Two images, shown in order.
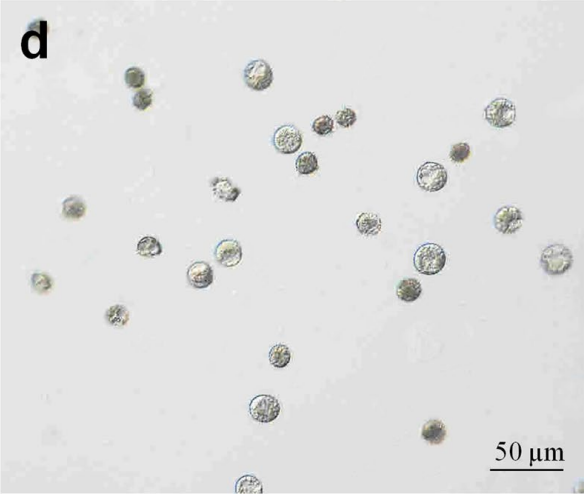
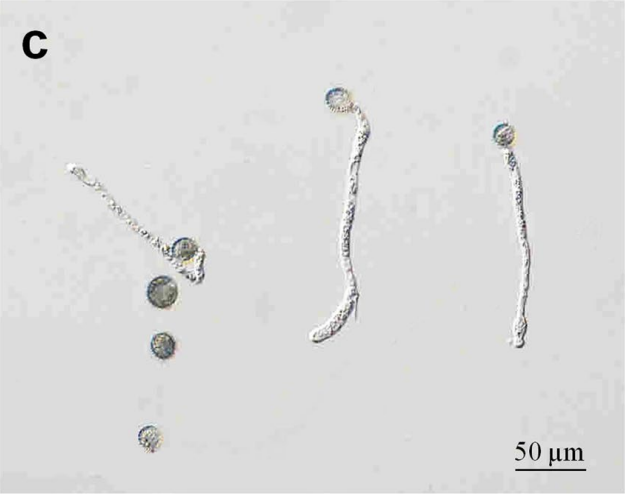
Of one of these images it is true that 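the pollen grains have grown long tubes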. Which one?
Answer: The second image.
